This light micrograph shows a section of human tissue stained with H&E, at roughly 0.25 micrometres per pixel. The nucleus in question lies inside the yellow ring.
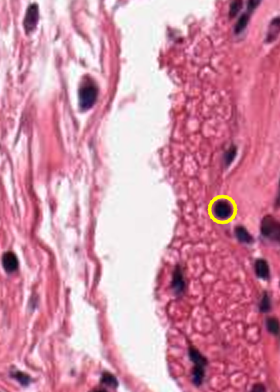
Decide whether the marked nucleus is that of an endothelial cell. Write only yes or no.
no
